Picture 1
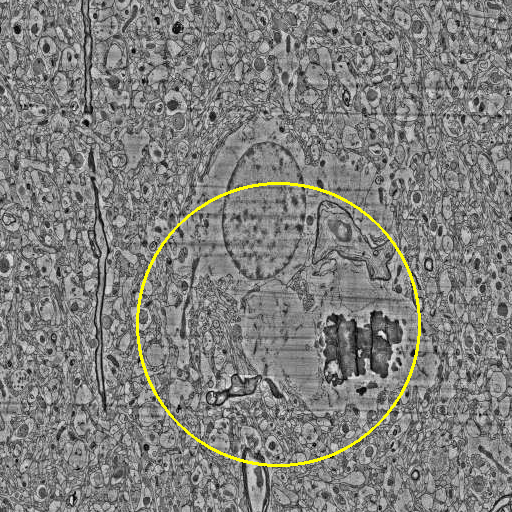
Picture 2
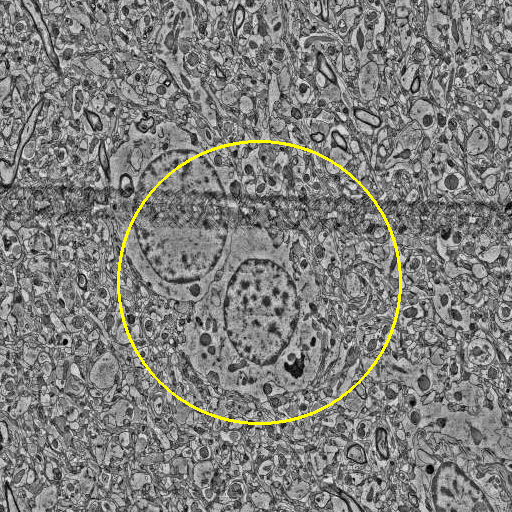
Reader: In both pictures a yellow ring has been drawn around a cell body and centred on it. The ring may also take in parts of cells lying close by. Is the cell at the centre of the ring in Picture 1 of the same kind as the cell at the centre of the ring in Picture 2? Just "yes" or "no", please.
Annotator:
yes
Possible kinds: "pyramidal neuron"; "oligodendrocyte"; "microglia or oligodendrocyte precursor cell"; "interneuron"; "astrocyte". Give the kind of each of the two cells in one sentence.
Both the first and the second picture show an astrocyte in the ring.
